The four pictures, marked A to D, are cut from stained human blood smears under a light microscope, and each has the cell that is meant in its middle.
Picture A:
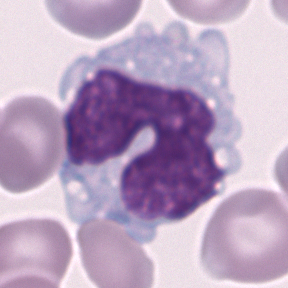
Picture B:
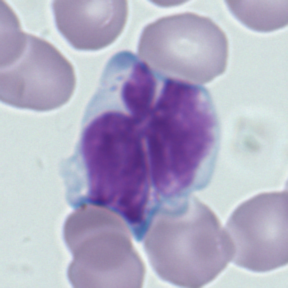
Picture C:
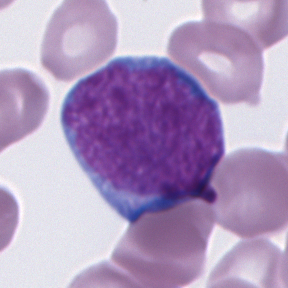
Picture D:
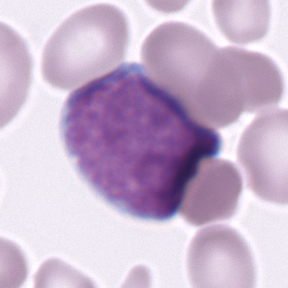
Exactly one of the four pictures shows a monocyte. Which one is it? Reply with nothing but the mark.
A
